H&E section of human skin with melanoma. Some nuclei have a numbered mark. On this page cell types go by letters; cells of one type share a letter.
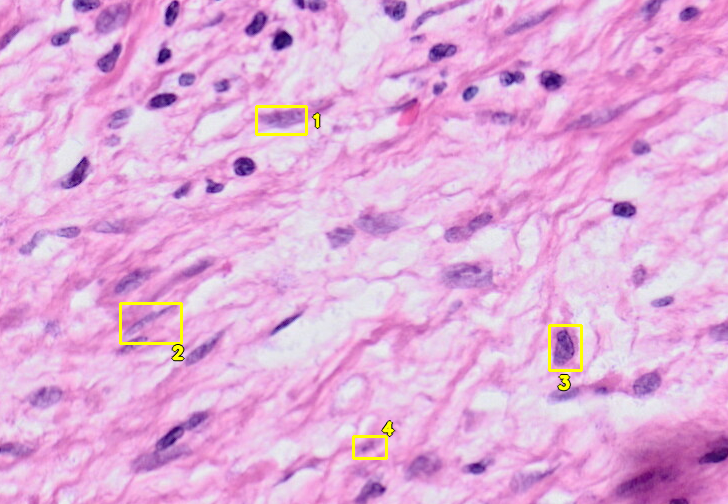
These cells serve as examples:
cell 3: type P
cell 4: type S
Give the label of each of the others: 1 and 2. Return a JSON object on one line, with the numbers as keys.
{"1": "type S", "2": "type S"}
